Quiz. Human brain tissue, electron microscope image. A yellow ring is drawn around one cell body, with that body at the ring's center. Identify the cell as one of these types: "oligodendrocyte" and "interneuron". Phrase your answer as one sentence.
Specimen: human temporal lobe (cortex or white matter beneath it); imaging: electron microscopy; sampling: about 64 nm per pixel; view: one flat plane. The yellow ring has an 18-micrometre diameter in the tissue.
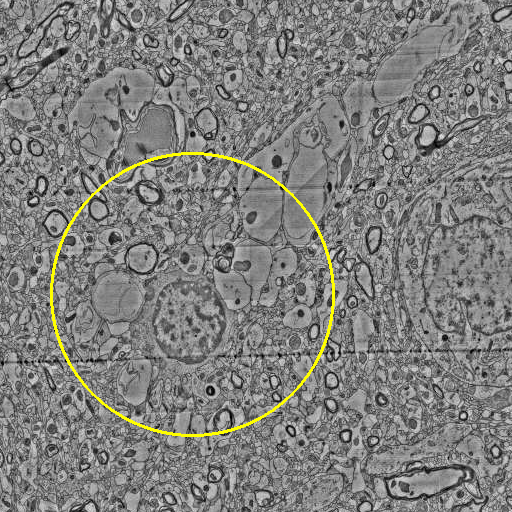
At the center of the ring sits an oligodendrocyte.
